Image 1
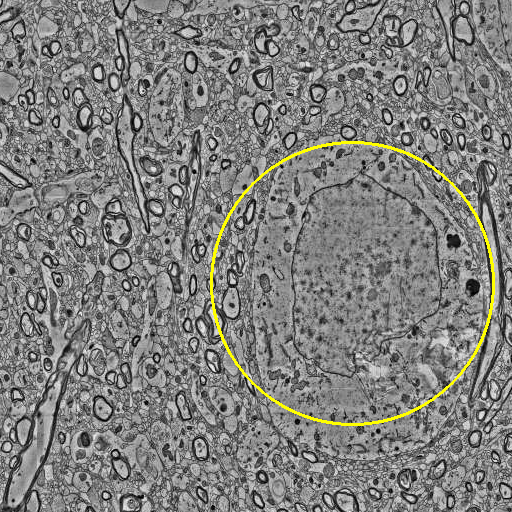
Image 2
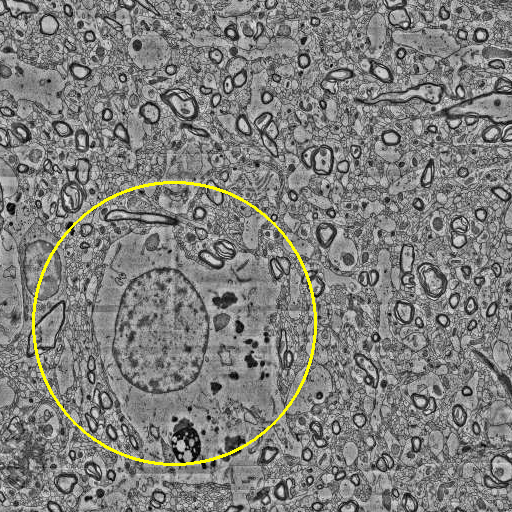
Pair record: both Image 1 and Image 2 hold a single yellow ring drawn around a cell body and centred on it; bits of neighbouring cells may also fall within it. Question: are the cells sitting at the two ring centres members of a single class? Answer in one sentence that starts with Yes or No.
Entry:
No, the ring-centre cells in Image 1 and Image 2 come from two classes.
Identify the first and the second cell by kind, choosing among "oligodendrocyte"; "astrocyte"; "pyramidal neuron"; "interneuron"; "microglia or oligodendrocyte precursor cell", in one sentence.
The one in the first picture is a pyramidal neuron, while the one in the second is an astrocyte.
